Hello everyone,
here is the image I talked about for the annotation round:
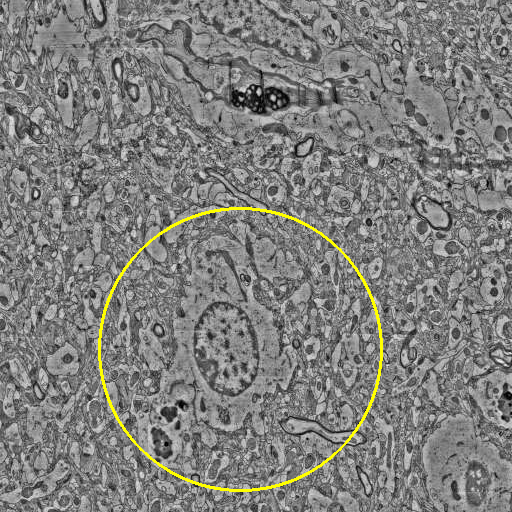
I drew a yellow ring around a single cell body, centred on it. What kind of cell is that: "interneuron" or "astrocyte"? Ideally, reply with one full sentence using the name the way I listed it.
The cell your yellow ring is centred on is an astrocyte, going by your list.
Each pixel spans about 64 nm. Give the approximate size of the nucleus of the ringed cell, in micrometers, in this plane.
The nucleus comes to approximately 6 by 4 micrometres and is clearly longer than it is wide in this plane.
